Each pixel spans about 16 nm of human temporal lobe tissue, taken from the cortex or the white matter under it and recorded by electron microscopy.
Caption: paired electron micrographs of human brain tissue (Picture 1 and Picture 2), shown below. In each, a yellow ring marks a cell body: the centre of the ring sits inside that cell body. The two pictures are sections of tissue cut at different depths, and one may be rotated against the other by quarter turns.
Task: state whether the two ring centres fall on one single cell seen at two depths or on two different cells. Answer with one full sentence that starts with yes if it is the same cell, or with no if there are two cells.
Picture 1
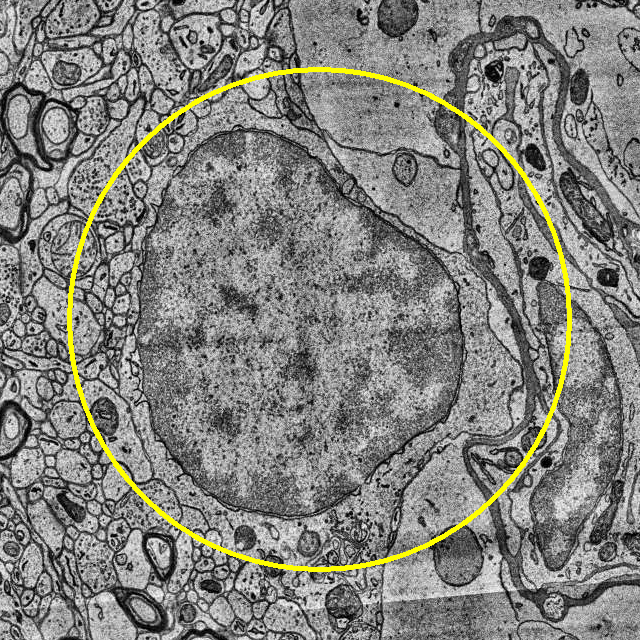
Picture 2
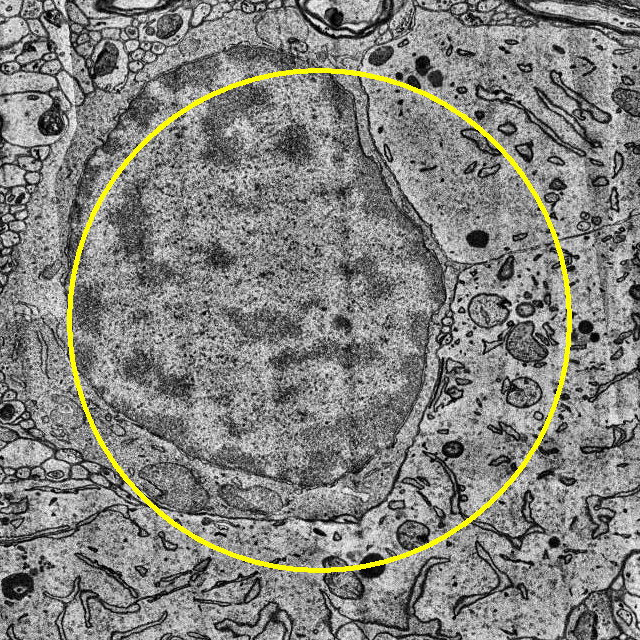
No, the rings mark two cells rather than a single cell.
